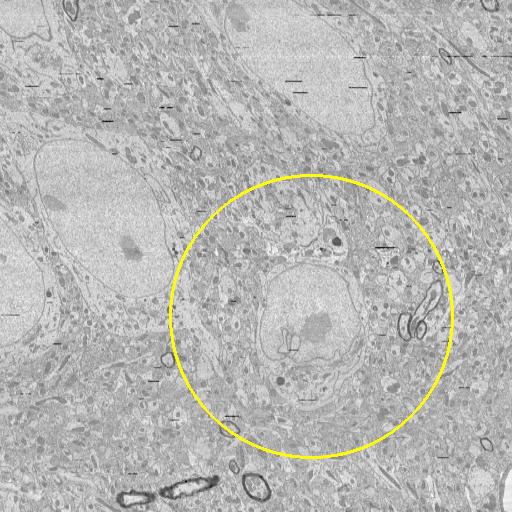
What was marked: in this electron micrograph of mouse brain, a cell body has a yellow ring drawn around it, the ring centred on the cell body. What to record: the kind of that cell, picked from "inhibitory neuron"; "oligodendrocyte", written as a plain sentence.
The centred cell is an inhibitory neuron.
